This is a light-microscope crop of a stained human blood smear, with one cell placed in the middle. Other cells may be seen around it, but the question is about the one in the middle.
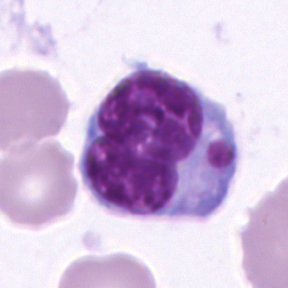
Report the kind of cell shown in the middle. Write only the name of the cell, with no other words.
plasma cell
